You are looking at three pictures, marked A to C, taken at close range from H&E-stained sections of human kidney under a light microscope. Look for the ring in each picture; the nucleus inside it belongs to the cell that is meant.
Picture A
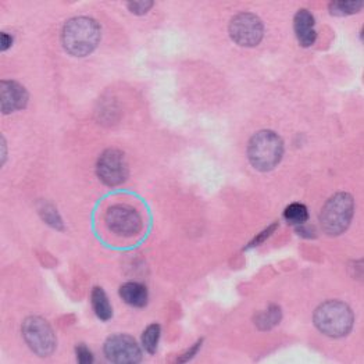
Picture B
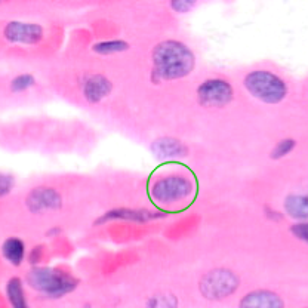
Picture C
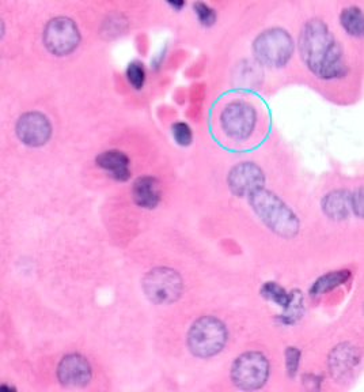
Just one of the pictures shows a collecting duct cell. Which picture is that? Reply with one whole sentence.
The collecting duct cell is the one in picture C.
